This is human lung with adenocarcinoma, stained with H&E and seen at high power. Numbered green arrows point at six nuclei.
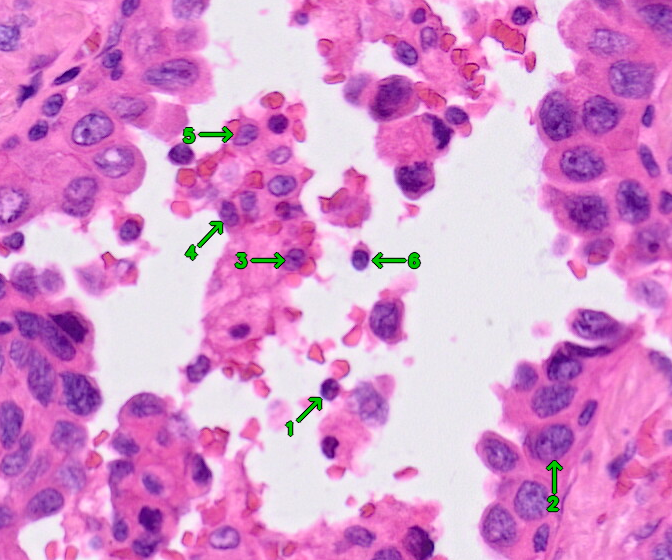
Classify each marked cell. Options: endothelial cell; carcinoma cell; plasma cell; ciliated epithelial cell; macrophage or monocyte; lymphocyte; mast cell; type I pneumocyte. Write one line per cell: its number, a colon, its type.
1: lymphocyte
2: carcinoma cell
3: macrophage or monocyte
4: macrophage or monocyte
5: macrophage or monocyte
6: lymphocyte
